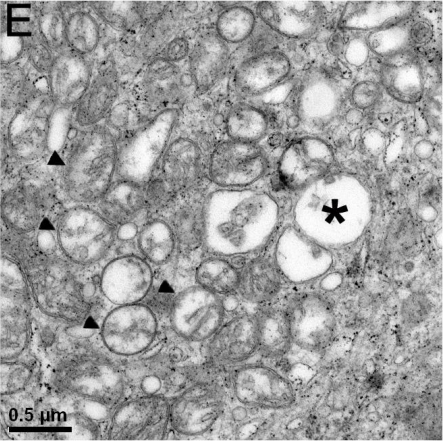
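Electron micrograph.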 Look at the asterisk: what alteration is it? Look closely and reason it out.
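Vacuolated mitochondrion. The asterisk sits on a large round membrane-bound profile with an almost empty pale interior. Small remnants of membranes lie inside the pale space.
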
